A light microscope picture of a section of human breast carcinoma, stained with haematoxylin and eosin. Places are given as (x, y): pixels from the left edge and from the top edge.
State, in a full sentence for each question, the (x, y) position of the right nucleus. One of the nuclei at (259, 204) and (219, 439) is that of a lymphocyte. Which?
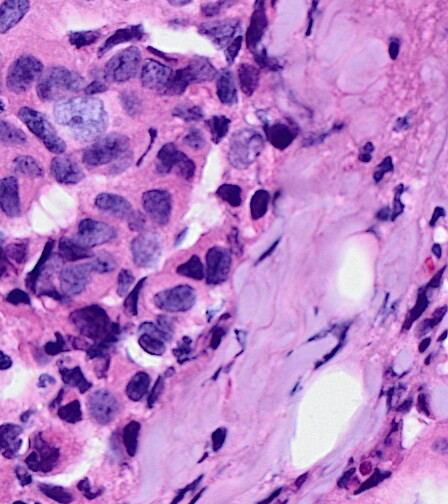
The nucleus whose cell is a lymphocyte is the one at (219, 439).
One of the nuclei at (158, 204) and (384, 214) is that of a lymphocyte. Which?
The nucleus at (384, 214) is housed in a lymphocyte.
